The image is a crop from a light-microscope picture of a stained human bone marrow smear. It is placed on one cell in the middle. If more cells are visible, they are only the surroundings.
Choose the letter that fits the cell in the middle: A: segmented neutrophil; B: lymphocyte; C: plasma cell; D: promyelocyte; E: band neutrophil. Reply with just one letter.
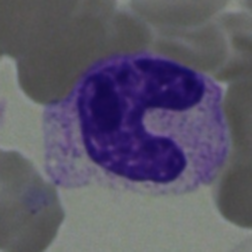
E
